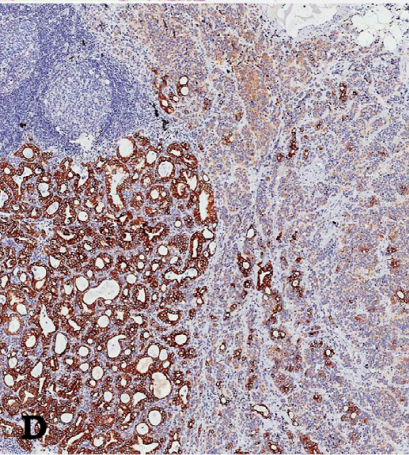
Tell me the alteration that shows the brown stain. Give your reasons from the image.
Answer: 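Strong brown stain lines numerous gland-like lumens at lower left. Solid areas at right are only faintly stained.
Answer: adenocarcinomatous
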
